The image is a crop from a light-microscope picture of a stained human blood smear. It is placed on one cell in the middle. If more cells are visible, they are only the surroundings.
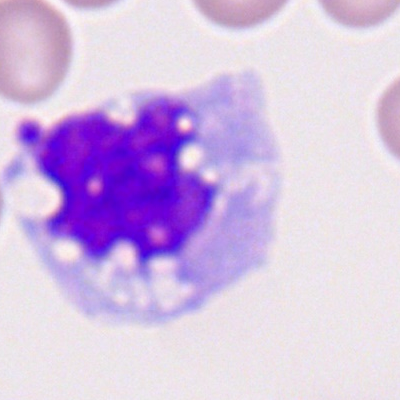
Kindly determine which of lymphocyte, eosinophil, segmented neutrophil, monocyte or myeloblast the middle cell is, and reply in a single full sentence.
This crop's central cell is a monocyte.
